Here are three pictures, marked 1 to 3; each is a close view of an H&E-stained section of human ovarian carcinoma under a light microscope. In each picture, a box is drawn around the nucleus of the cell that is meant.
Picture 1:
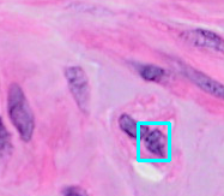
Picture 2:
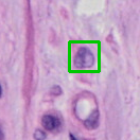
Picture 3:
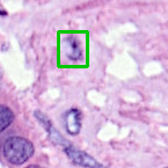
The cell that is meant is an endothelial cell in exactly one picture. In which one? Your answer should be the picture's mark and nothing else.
1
